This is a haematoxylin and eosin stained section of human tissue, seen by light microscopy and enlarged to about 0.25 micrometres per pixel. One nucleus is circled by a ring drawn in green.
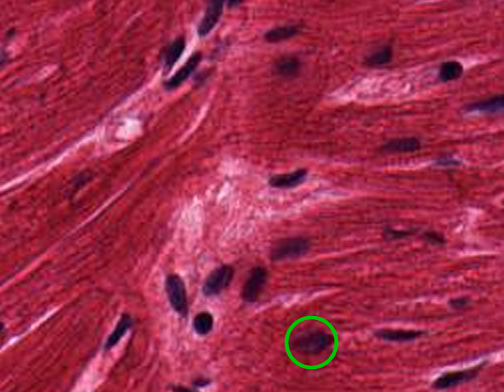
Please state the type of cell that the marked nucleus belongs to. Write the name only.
cardiomyocyte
